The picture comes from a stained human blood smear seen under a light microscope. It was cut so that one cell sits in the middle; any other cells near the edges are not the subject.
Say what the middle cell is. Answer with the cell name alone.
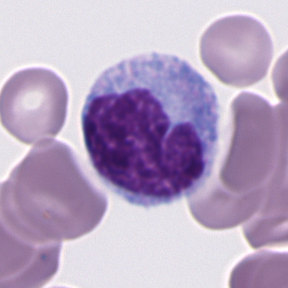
monocyte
